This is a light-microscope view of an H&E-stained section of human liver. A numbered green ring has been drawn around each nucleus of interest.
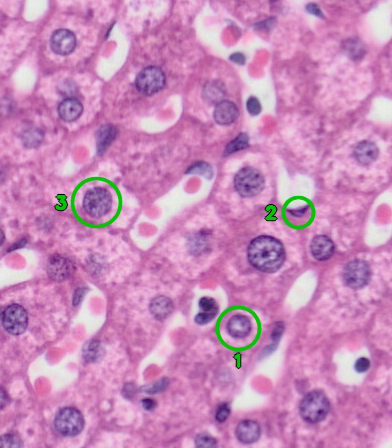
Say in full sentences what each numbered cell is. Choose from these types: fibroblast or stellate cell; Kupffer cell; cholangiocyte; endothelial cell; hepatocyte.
Cells 1 and 3 are hepatocytes. Cell 2 is an endothelial cell.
